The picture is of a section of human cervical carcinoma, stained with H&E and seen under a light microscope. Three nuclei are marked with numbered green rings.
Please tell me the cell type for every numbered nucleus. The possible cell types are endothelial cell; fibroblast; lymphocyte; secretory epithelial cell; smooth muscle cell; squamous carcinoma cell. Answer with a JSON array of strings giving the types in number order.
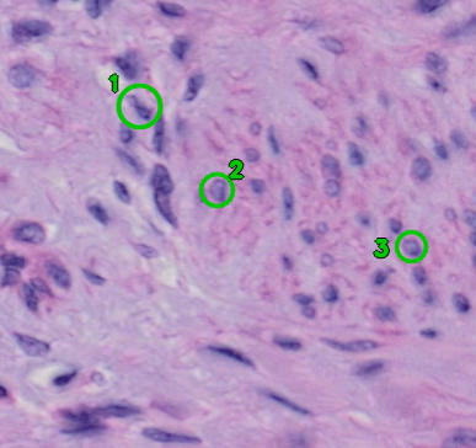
["fibroblast", "smooth muscle cell", "smooth muscle cell"]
